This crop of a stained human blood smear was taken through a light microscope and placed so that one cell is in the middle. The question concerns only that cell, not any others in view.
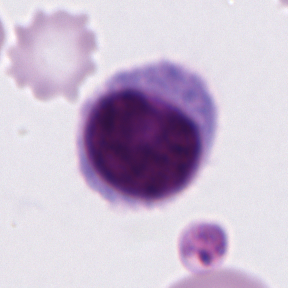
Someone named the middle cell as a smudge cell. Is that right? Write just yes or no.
no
